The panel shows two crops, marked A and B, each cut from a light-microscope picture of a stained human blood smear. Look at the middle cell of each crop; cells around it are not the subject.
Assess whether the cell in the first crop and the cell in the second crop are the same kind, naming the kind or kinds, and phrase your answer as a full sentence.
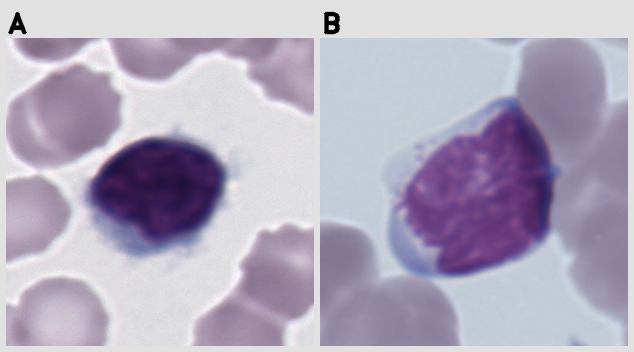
No, crop A shows a hairy cell, and it is crop B that shows a large granular lymphocyte.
